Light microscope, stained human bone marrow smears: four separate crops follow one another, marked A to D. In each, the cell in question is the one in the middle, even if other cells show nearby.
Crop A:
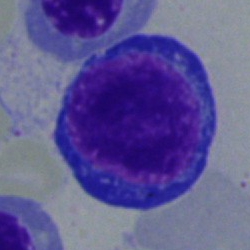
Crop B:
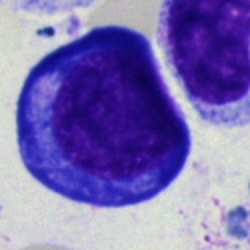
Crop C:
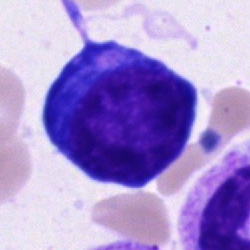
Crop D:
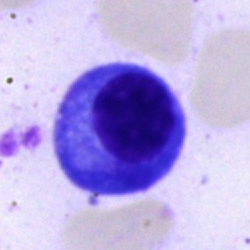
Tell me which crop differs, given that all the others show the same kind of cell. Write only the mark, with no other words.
D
